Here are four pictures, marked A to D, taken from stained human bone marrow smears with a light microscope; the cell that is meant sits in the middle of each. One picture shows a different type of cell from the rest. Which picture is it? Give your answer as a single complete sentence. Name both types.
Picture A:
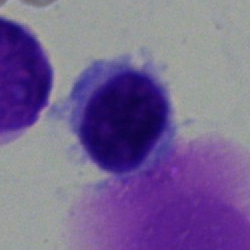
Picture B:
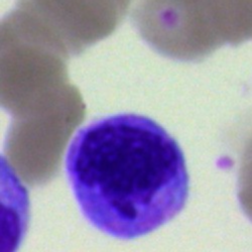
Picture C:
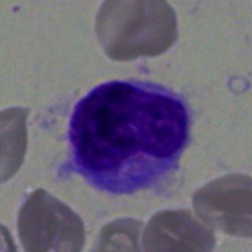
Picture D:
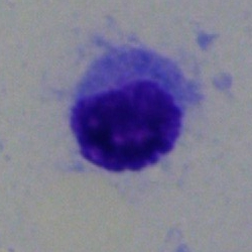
Unlike the rest, which show hairy cells, picture B shows a monocyte.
